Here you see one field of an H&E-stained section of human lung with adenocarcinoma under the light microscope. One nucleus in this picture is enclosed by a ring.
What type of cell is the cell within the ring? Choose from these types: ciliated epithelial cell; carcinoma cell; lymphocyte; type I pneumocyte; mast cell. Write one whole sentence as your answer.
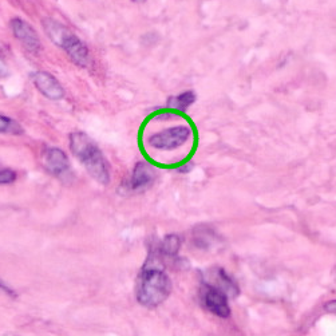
In cellular terms, the cell within the ring is a mast cell.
